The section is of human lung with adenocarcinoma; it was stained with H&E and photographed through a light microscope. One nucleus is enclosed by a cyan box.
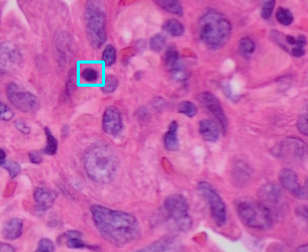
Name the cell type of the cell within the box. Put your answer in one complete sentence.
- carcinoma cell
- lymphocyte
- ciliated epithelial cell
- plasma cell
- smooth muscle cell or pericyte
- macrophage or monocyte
As for its identity, the cell within the box is a lymphocyte.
